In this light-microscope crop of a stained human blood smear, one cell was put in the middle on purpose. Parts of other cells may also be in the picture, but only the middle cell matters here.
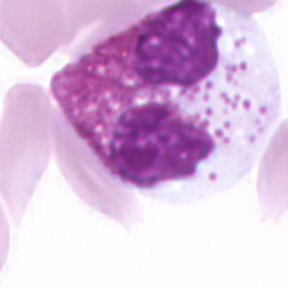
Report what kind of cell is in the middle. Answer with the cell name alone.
eosinophil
